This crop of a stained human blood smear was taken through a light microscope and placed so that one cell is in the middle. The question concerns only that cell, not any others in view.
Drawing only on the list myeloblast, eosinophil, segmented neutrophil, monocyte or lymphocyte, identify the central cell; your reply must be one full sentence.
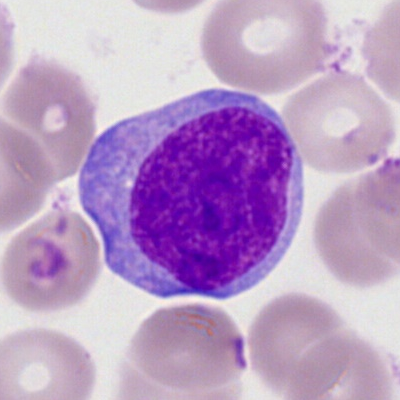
The cell centred in this crop is categorized as a myeloblast.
